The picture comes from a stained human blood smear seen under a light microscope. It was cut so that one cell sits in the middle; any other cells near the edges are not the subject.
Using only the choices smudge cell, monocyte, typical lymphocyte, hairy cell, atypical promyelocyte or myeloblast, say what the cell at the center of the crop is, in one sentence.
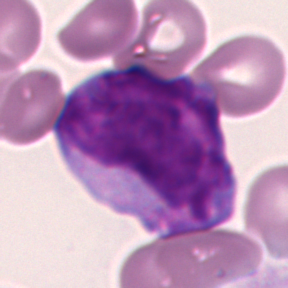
Positioned in the middle of the crop is an atypical promyelocyte.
